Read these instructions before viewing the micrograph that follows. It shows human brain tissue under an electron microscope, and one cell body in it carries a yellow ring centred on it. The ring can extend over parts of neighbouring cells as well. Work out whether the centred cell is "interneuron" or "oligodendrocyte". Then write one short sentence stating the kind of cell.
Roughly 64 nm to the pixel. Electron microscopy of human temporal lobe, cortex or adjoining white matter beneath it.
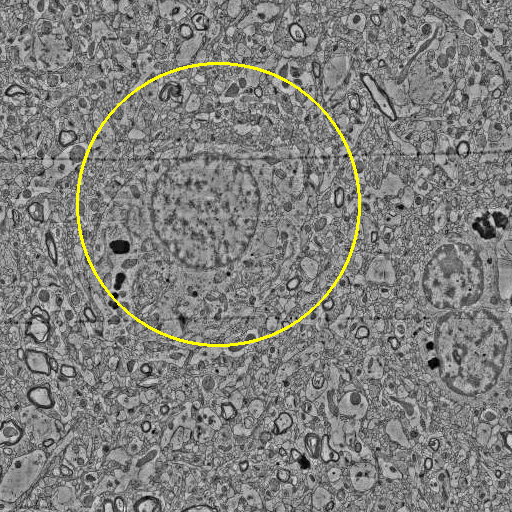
The ringed cell is an interneuron.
